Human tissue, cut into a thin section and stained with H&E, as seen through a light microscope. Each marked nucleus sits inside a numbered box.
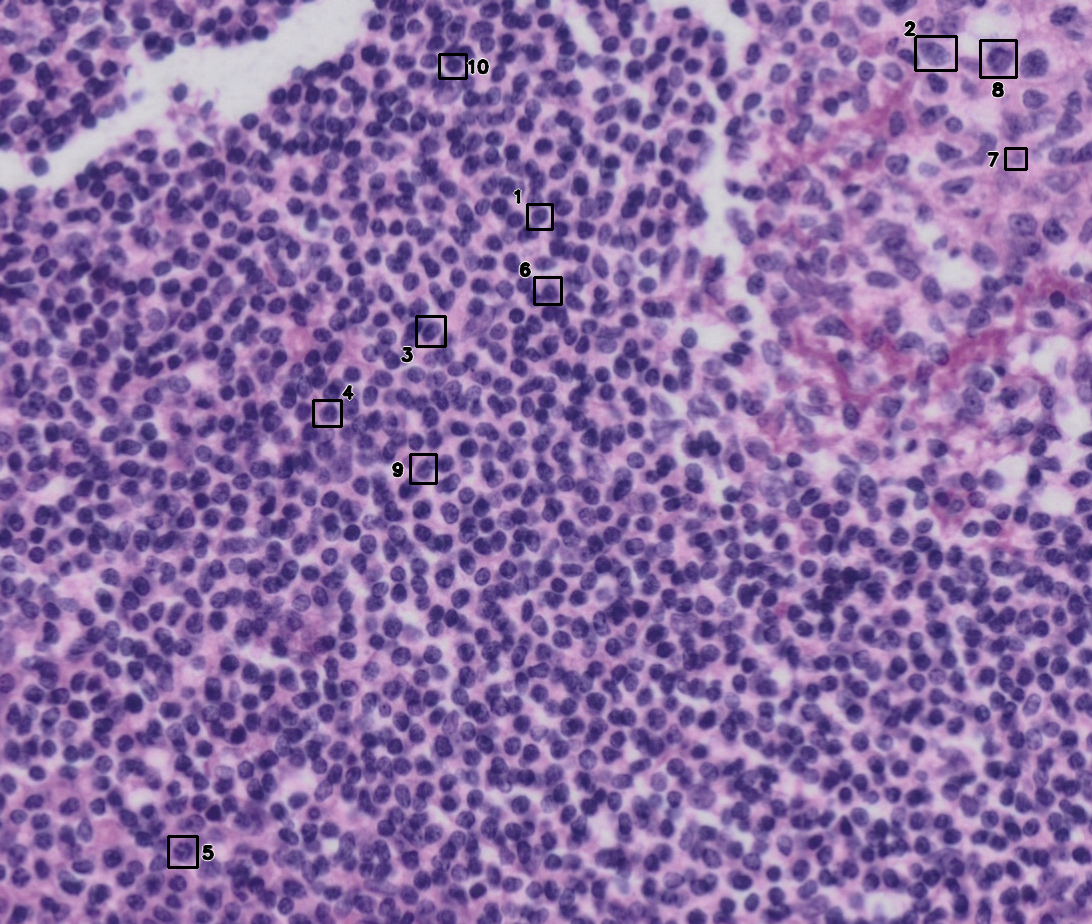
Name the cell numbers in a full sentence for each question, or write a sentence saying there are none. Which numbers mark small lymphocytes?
Cells numbered 1, 3, 4, 6, 9 and 10 belong to the group of small lymphocytes.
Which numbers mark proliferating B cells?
Cells 2, 7 and 8 are recognised here as proliferating B cells.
